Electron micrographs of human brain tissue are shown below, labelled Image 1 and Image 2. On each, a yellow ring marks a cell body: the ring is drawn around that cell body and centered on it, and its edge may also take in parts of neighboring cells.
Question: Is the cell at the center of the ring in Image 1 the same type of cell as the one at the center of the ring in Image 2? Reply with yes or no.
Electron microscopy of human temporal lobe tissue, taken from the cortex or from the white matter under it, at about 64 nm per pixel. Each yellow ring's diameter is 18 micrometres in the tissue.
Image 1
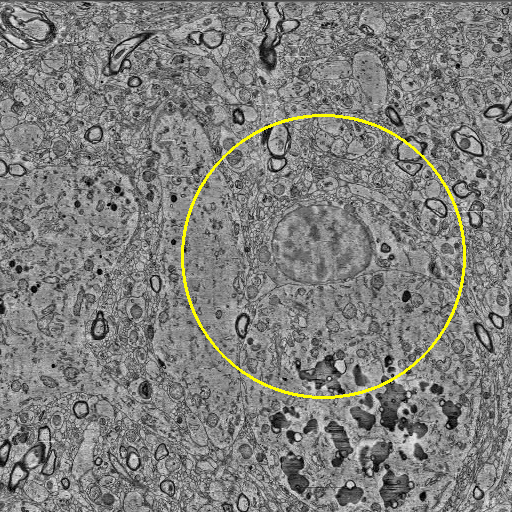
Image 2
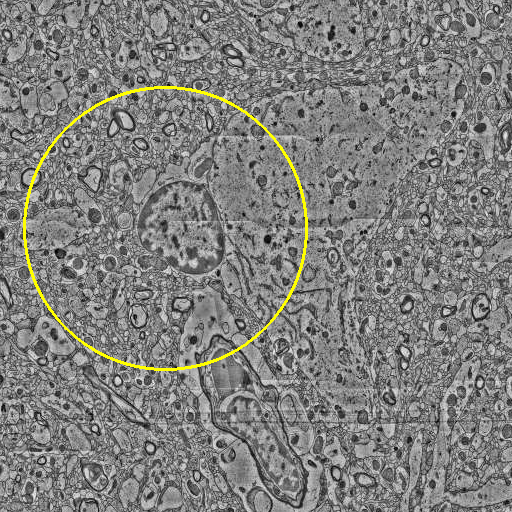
no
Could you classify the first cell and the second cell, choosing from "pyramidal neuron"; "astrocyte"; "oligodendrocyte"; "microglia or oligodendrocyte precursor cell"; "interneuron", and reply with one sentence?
The second cell is a microglial cell or oligodendrocyte precursor cell, while the first is an oligodendrocyte.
